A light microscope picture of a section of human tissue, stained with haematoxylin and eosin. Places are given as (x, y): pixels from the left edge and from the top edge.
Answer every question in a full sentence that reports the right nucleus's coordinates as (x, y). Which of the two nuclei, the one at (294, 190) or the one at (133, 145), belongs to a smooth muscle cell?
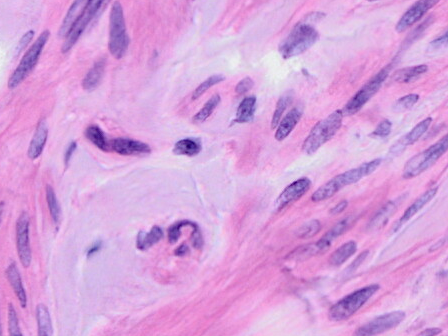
So, of the two, the nucleus at (294, 190) is the one belonging to a smooth muscle cell.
